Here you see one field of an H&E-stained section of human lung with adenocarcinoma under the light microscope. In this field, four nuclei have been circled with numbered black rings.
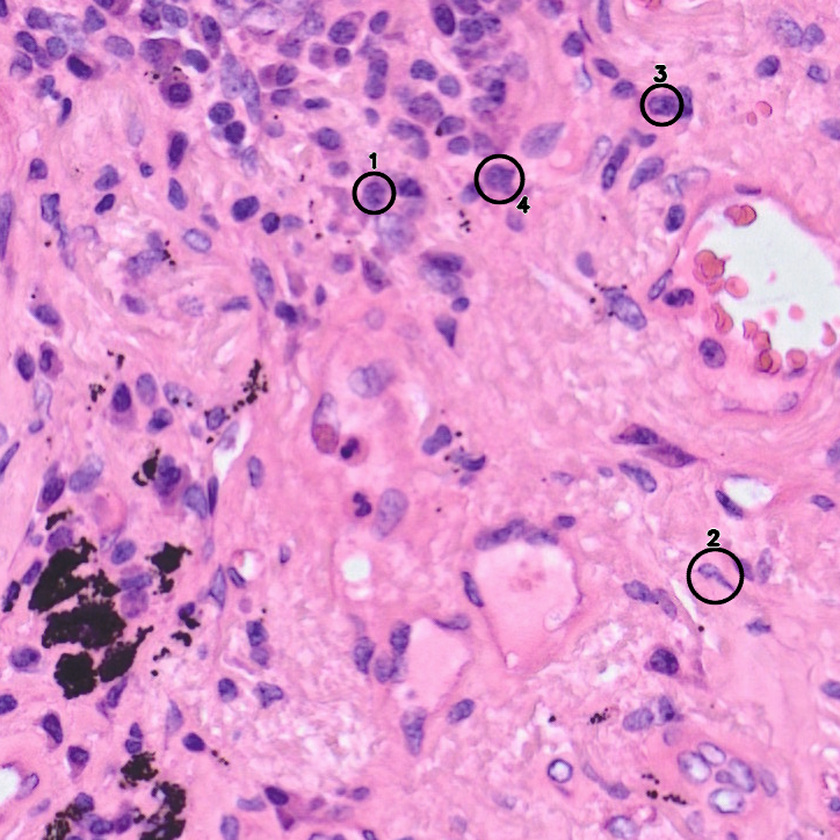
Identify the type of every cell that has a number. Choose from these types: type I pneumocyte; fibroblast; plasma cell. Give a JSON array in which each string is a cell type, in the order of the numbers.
["plasma cell", "fibroblast", "plasma cell", "plasma cell"]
